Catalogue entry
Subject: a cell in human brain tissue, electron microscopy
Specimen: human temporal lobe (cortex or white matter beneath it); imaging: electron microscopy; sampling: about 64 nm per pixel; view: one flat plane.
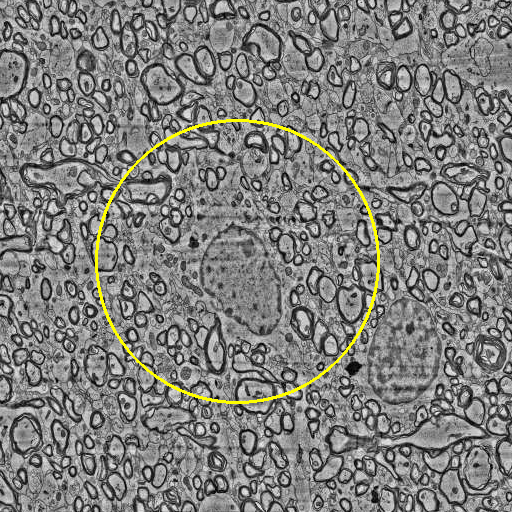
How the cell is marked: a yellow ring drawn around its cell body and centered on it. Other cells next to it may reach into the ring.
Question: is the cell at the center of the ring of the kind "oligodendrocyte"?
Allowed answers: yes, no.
no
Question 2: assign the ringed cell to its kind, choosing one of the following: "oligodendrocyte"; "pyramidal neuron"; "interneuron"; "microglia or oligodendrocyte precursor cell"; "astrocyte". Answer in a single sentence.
This picture has an astrocyte at the centre of its ring.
